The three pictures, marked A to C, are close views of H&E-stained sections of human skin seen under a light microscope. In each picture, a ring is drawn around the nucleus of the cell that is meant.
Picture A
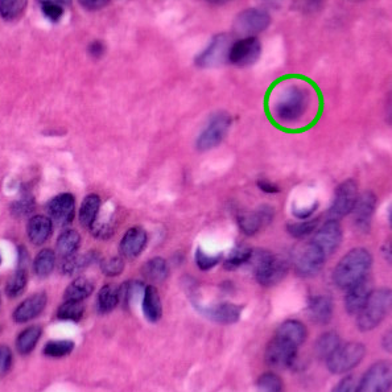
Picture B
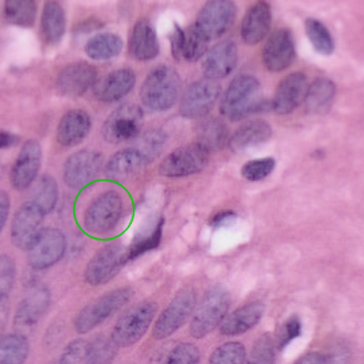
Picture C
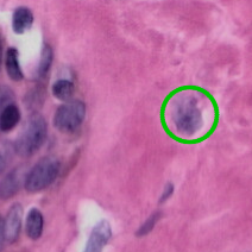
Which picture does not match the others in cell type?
B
